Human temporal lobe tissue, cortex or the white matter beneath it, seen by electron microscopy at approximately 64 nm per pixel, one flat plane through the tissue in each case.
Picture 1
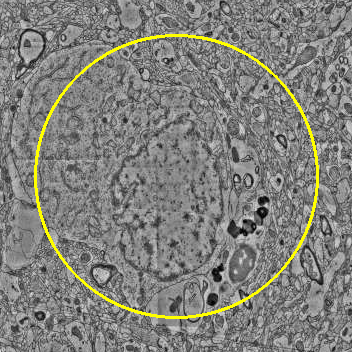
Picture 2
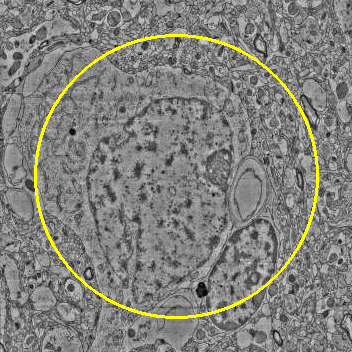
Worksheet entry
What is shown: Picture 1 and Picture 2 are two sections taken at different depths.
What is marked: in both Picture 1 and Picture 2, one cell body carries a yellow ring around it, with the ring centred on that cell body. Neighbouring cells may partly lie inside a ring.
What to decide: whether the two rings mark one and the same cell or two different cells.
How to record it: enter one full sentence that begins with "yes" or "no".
Yes, both rings are placed on a single cell.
